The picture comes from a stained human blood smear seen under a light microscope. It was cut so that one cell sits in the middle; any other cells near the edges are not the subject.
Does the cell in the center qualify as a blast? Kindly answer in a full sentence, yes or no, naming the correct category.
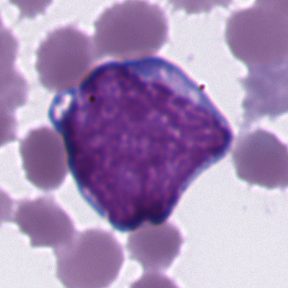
Yes, the cell at the crop's center is a blast.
